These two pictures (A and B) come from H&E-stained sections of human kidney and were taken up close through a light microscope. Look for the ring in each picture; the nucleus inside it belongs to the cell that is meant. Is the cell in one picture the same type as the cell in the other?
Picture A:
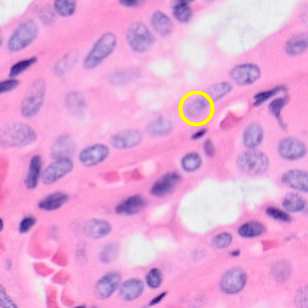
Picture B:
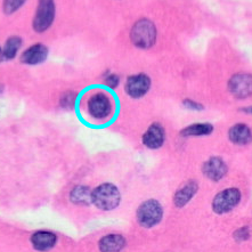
no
